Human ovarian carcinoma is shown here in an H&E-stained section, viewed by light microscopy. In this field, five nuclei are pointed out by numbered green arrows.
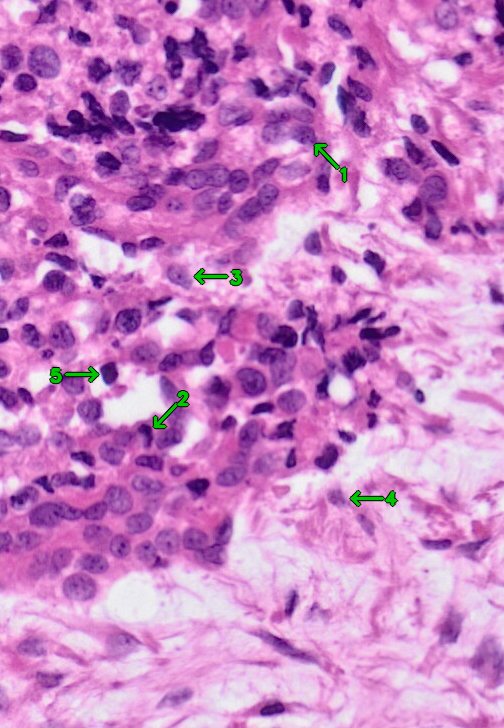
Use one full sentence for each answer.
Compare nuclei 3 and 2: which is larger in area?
Nucleus 3 covers more area, about 2 times as much as nucleus 2.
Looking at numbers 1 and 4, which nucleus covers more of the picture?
It is nucleus 1, which covers about 1.5 times the area of nucleus 4.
